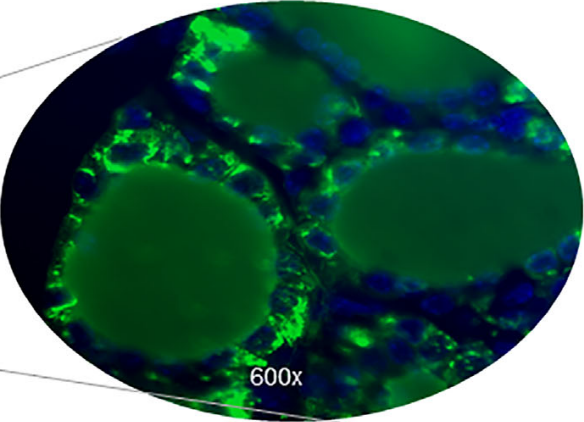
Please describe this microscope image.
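Large round follicles are filled with a smooth, evenly pale green material. Around each follicle runs a single layer of flattened to cuboidal cells whose nuclei show blue. The cytoplasm of these lining cells carries bright, granular green staining that is stronger than the material in the follicle centres. Between neighbouring follicles lie thin strips of tissue with further blue nuclei.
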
